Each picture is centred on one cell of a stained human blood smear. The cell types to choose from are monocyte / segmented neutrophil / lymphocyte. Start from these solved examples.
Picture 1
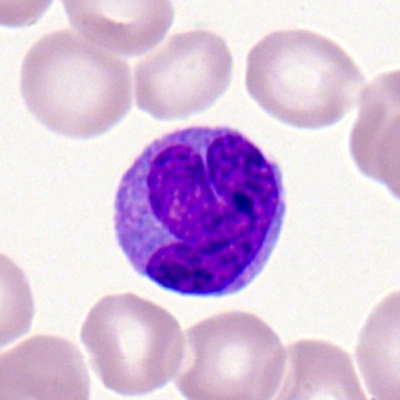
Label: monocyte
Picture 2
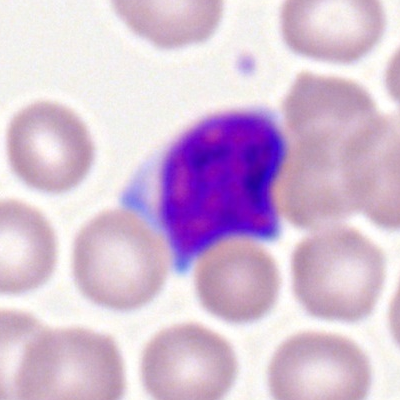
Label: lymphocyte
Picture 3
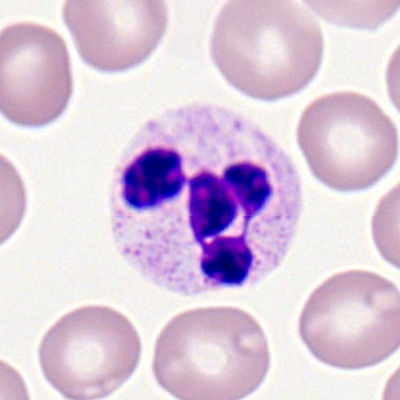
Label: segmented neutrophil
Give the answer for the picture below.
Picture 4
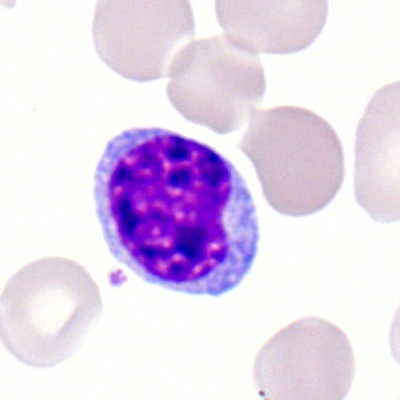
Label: lymphocyte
